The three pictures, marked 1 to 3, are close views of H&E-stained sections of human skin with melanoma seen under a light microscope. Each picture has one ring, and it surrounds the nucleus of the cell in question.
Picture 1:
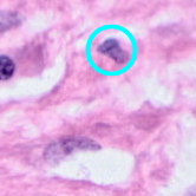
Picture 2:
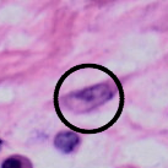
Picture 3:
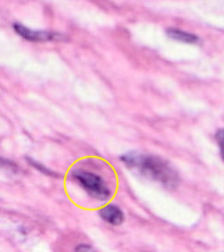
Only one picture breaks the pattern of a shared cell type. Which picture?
2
